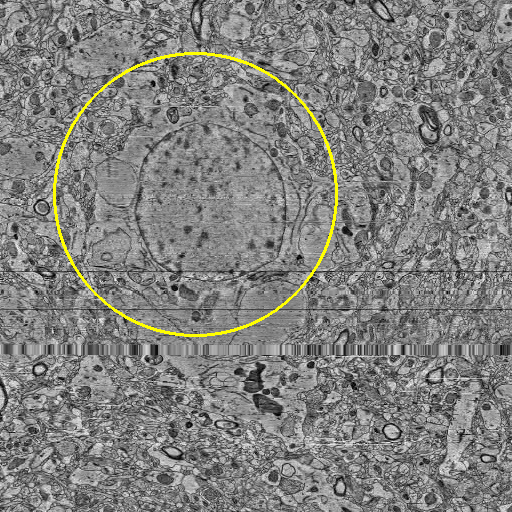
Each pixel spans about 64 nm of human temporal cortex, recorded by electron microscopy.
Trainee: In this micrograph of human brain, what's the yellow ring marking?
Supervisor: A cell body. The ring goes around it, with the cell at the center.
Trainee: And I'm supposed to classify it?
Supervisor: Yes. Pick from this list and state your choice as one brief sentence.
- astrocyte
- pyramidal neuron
The cell at the ring's center is an astrocyte.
